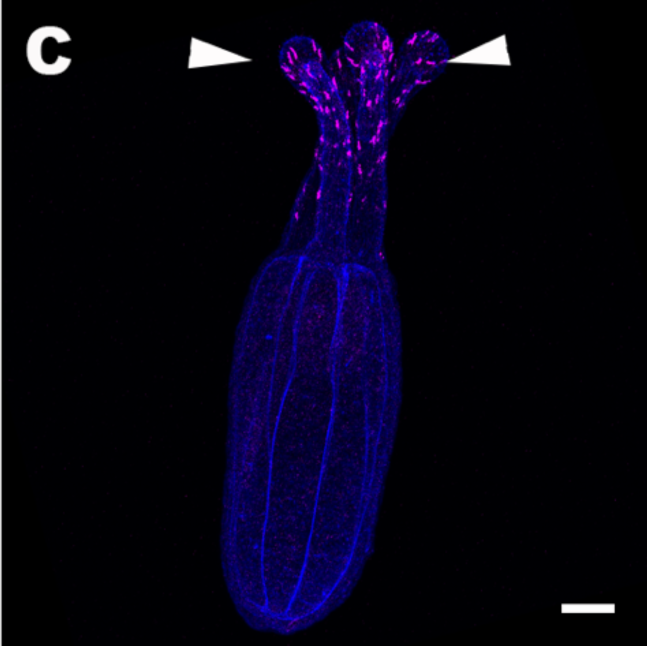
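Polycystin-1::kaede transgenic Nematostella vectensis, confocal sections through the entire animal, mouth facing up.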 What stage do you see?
primary polyp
